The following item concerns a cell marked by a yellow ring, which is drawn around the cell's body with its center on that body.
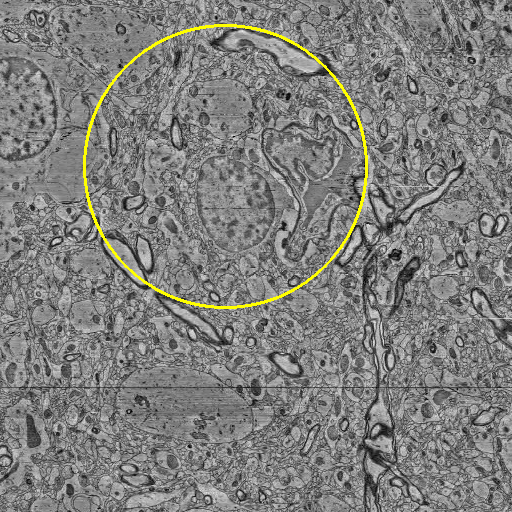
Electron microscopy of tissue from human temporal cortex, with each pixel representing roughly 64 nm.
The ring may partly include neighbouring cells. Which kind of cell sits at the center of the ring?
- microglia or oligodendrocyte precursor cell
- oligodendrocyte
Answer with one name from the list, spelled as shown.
oligodendrocyte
